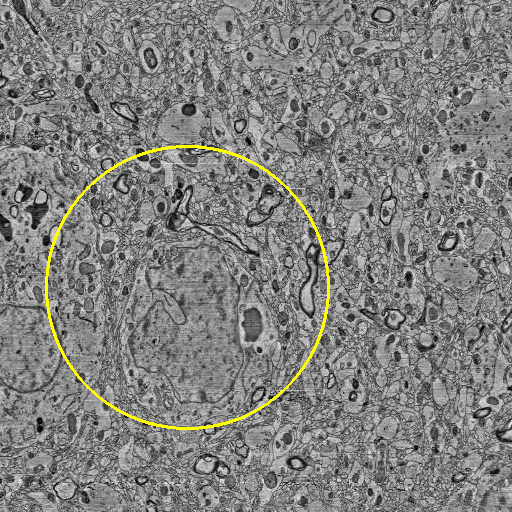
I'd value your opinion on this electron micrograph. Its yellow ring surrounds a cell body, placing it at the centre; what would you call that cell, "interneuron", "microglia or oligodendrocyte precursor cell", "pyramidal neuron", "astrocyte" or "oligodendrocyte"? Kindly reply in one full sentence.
It is an interneuron that sits centred within the yellow ring in this micrograph.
